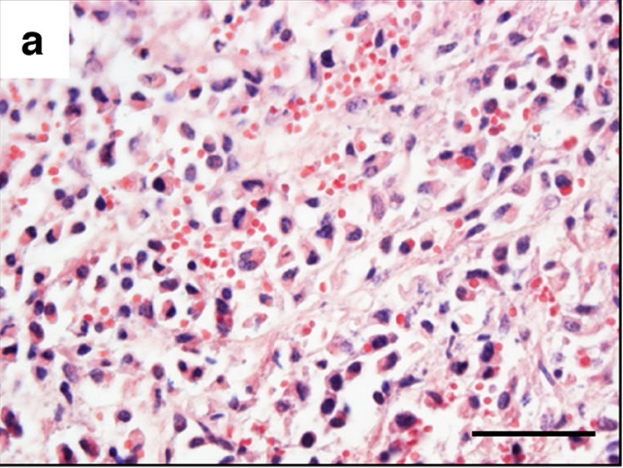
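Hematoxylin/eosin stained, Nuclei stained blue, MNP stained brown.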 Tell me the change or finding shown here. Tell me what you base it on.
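Many nuclei are small, round and very dark. Cells lie loosely apart in a pale, open background. Free red blood cells are scattered between the cells.
Conclusion: Necrotic and apoptotic tissue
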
